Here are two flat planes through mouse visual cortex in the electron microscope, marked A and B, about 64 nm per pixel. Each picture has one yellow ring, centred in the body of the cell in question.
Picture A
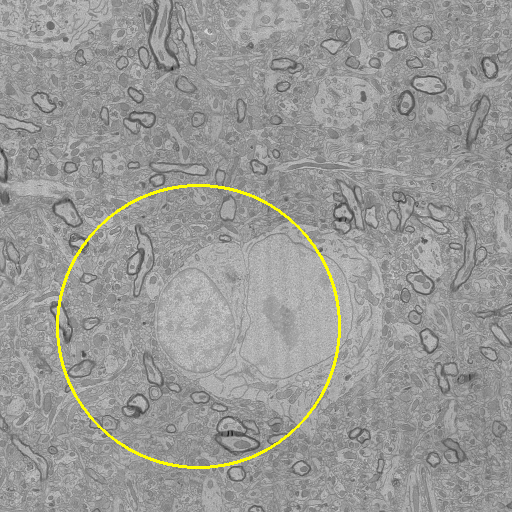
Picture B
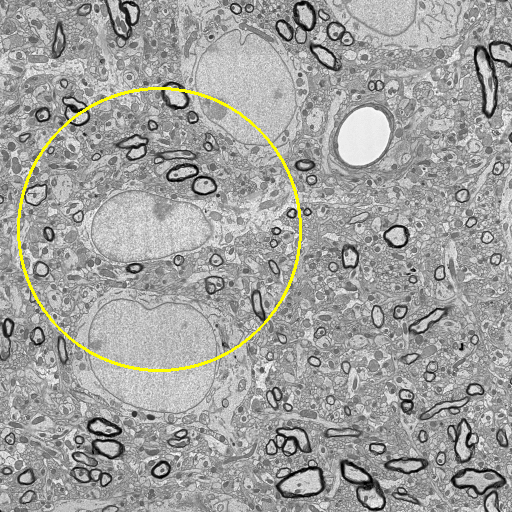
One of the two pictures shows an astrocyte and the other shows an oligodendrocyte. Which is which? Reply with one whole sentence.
Picture B shows an astrocyte, while picture A shows an oligodendrocyte.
